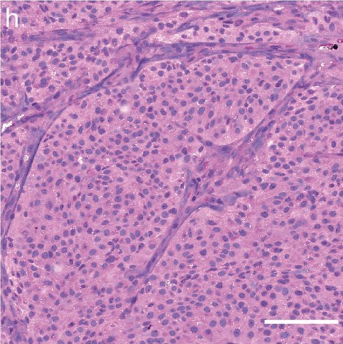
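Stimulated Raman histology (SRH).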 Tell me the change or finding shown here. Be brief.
Pituitary adenoma.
